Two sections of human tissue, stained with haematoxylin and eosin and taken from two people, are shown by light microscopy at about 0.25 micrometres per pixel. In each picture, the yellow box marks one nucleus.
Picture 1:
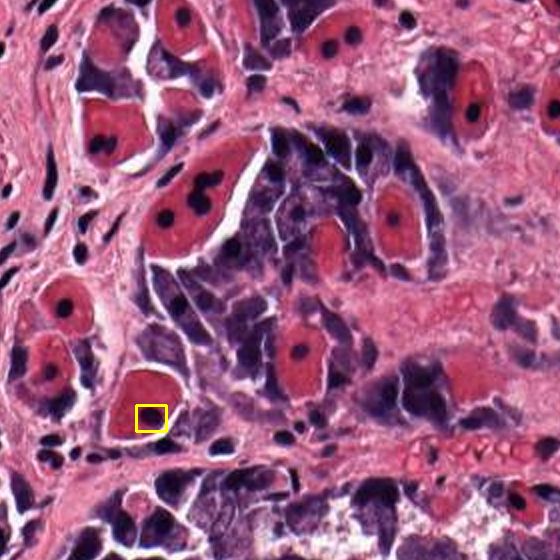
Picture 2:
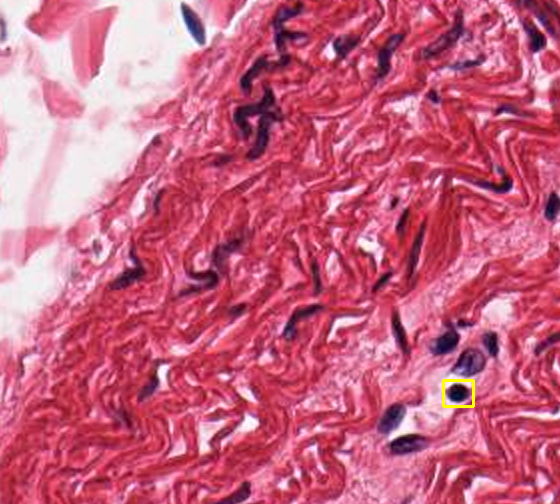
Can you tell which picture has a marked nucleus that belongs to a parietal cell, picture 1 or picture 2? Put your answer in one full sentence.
The nucleus bearing the mark in picture 1 belongs to a parietal cell.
